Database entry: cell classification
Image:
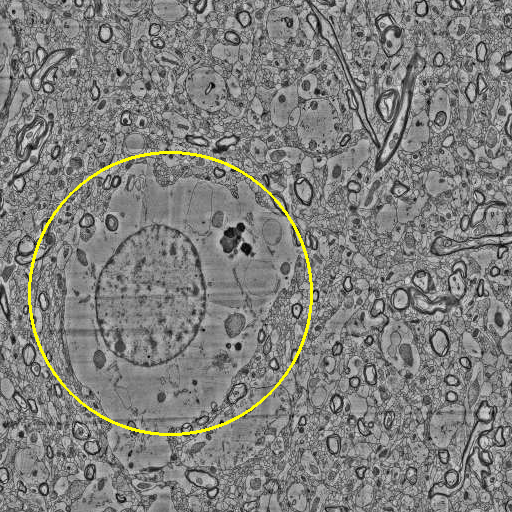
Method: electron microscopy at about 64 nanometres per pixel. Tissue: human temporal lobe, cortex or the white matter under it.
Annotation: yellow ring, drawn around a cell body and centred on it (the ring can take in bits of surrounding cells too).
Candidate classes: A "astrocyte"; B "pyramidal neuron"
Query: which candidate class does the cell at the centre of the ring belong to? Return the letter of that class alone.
A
